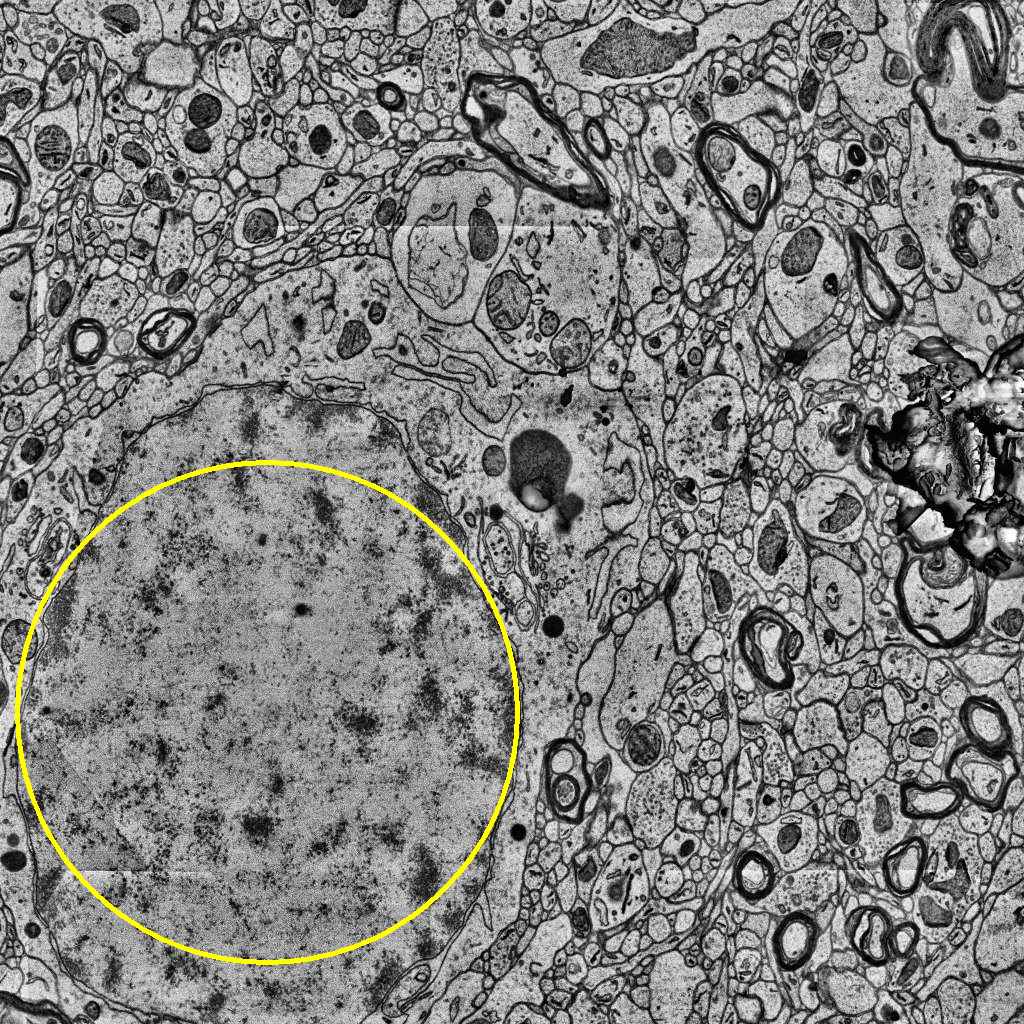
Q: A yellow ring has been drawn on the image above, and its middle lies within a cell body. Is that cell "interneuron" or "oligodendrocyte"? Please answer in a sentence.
The ring's middle lies in the cell body of an interneuron.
